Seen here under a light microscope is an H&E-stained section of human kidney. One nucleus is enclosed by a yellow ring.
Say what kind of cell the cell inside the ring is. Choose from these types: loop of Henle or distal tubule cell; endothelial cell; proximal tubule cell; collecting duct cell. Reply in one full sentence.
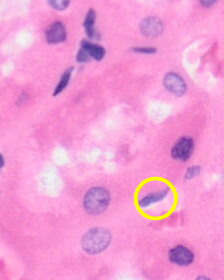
As far as its identity is concerned, the cell inside the ring is an endothelial cell.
